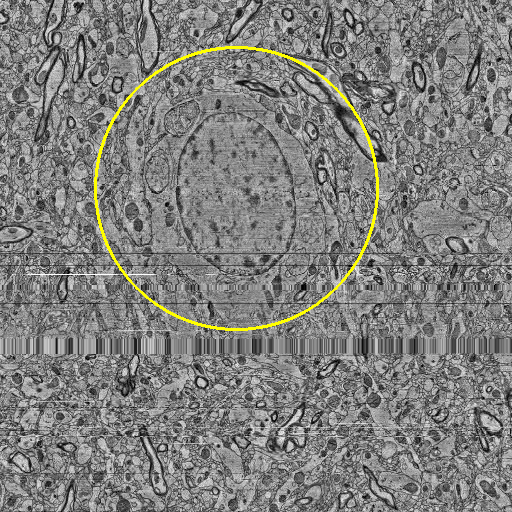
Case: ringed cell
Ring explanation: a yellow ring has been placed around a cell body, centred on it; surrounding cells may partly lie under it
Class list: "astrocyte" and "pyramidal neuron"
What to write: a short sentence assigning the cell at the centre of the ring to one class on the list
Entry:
The cell at the ring's centre is an astrocyte.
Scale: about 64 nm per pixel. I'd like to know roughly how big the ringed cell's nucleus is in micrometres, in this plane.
The nucleus appears roughly 11 by 8 micrometres in this plane.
